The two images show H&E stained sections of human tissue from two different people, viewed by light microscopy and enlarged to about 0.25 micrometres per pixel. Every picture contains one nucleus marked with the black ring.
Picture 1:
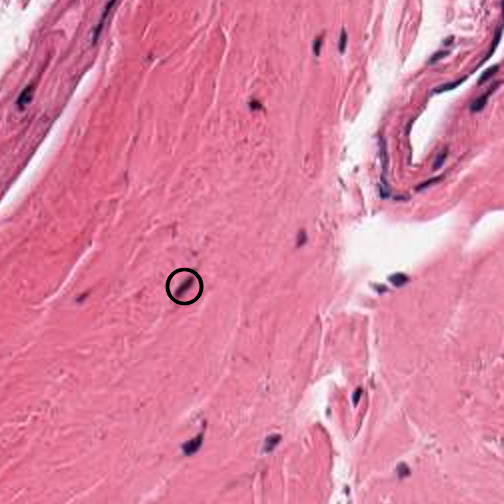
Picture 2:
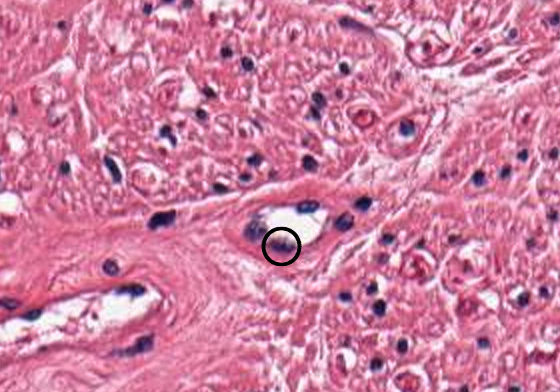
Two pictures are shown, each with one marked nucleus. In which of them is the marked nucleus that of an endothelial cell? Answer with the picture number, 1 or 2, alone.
2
